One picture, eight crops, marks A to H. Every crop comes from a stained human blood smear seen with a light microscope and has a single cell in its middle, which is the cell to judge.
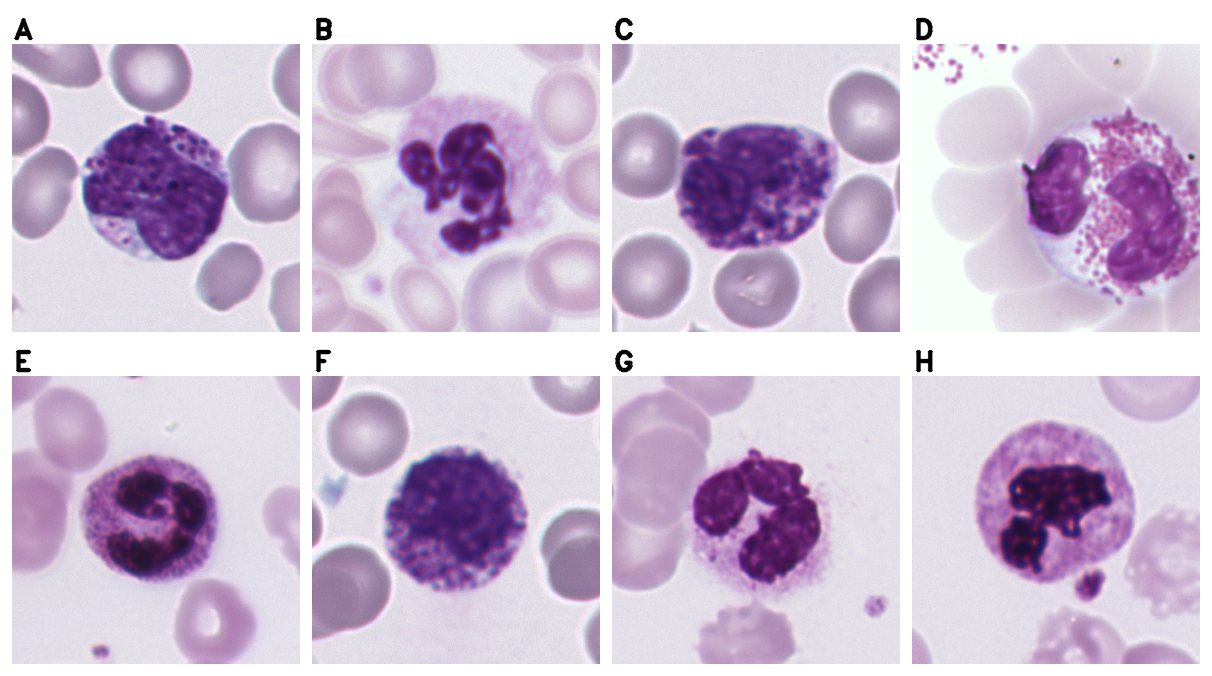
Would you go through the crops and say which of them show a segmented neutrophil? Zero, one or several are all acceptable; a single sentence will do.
The cells marked B, E, G and H are segmented neutrophils.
